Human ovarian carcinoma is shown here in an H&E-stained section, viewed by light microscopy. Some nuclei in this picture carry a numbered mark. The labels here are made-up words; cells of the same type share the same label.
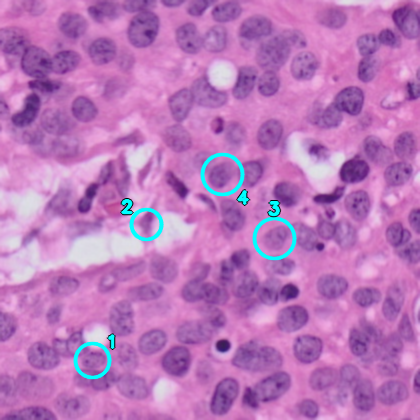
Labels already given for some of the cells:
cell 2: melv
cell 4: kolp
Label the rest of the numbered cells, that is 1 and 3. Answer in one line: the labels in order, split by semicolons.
kolp; kolp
